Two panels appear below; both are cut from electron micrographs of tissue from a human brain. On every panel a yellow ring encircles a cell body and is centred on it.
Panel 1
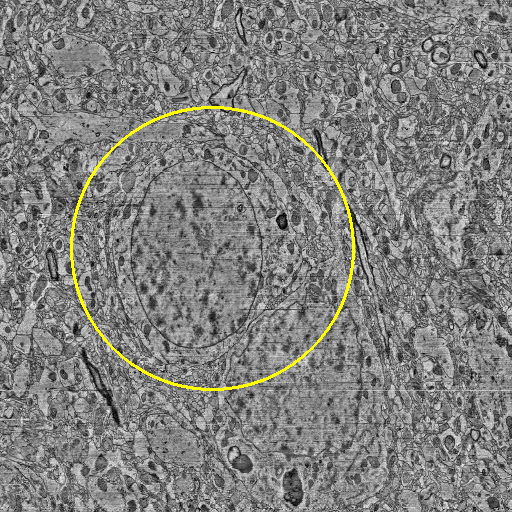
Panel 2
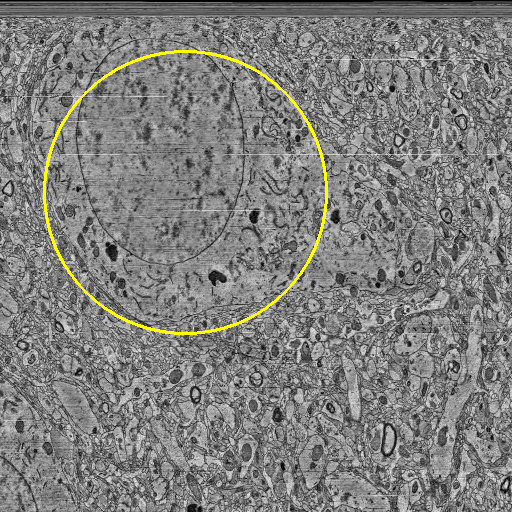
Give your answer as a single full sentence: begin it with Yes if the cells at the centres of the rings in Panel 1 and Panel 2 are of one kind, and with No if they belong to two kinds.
Yes, the cells in the middle of the rings in Panels 1 and 2 are of one kind.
